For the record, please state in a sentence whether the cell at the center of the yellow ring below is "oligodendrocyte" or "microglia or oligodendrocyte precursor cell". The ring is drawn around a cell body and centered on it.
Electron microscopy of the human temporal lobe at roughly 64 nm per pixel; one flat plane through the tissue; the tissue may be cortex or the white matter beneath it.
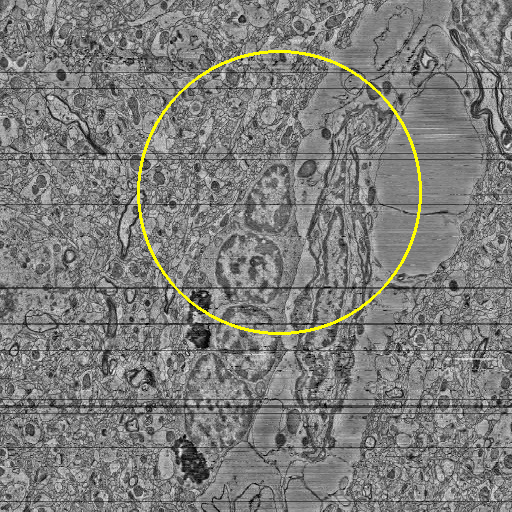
The cell at the ring's center is an oligodendrocyte.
